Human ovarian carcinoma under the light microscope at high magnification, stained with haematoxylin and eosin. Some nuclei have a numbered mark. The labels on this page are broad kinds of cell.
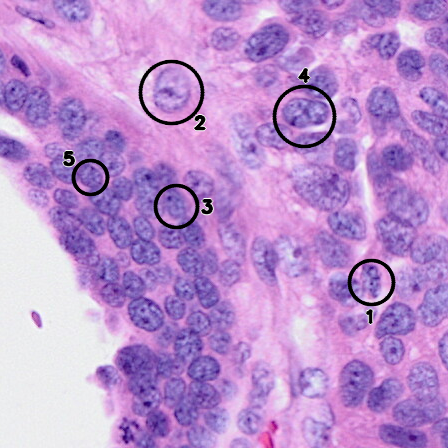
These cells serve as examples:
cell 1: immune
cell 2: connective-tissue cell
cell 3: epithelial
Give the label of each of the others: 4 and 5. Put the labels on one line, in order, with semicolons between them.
epithelial; epithelial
